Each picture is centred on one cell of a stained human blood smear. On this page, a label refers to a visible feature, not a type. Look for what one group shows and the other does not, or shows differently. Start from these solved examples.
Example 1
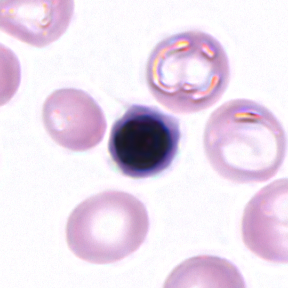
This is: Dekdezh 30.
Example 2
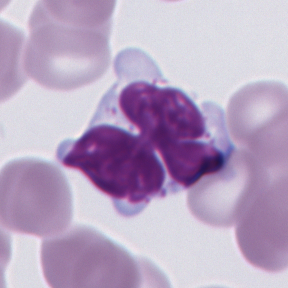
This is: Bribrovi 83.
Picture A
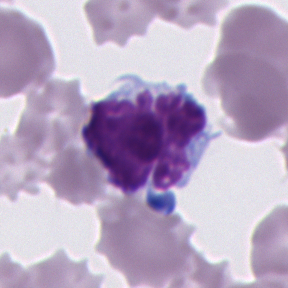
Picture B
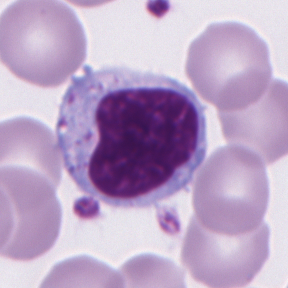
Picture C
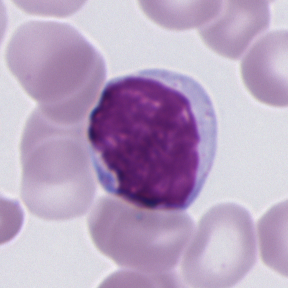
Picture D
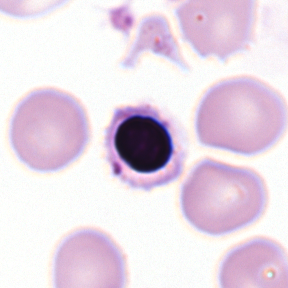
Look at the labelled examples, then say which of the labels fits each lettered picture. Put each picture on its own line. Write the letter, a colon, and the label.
A: Bribrovi 83.
B: Dekdezh 30.
C: Dekdezh 30.
D: Dekdezh 30.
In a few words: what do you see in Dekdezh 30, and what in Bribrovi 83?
Seen in Dekdezh 30: single compact nucleus; seen in Bribrovi 83: lobed nucleus.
